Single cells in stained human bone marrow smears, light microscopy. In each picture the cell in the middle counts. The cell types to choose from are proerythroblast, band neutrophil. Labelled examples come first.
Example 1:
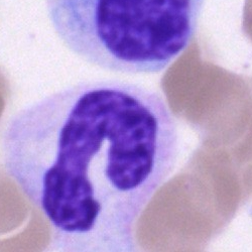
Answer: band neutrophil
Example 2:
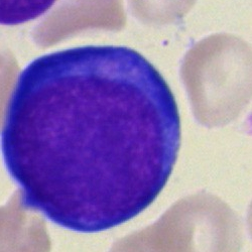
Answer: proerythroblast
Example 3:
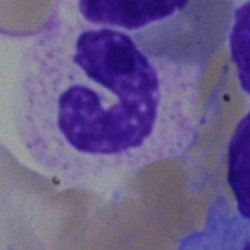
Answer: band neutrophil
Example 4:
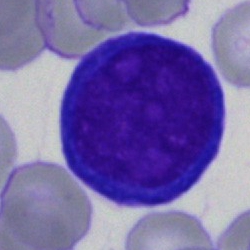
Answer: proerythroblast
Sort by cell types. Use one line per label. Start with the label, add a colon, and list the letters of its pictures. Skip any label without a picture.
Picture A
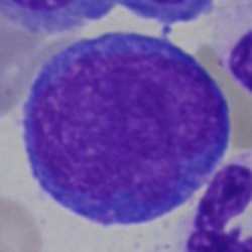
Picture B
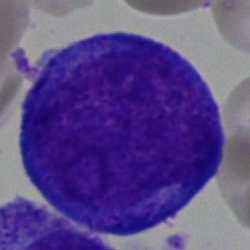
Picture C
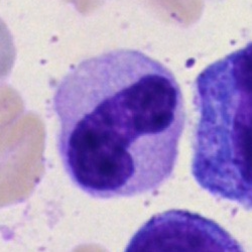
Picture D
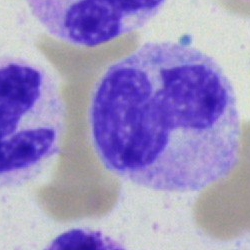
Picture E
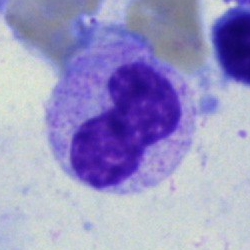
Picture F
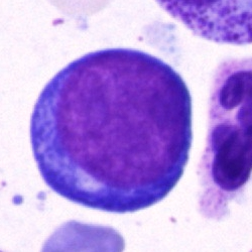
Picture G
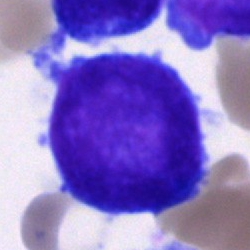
proerythroblast: A, B, F, G
band neutrophil: C, D, E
